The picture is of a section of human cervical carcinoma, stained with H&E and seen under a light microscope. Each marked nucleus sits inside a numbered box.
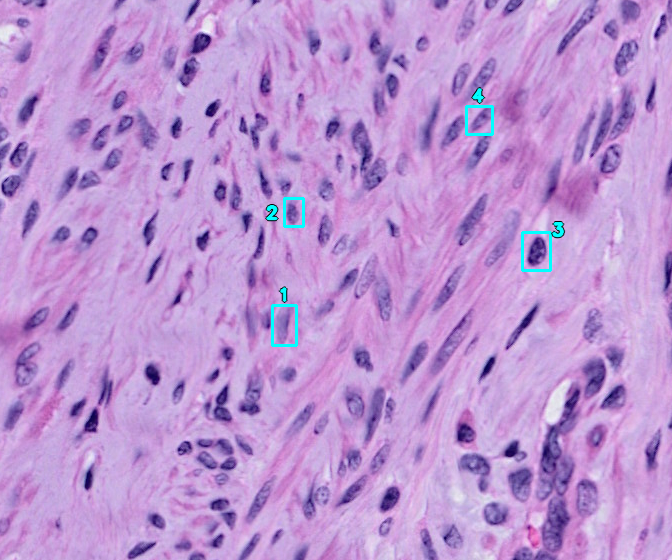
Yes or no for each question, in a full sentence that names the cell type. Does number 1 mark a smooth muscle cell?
Yes, that one, number 1, is a smooth muscle cell.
